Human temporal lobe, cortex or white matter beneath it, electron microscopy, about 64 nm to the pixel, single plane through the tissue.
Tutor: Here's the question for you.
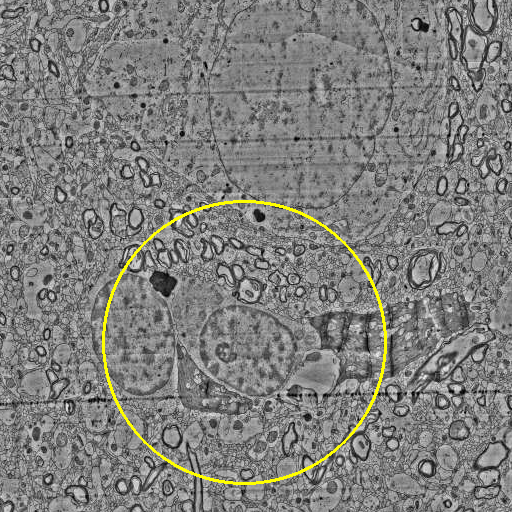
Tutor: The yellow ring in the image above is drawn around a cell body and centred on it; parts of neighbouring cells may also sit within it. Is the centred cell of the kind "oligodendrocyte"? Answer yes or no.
yes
